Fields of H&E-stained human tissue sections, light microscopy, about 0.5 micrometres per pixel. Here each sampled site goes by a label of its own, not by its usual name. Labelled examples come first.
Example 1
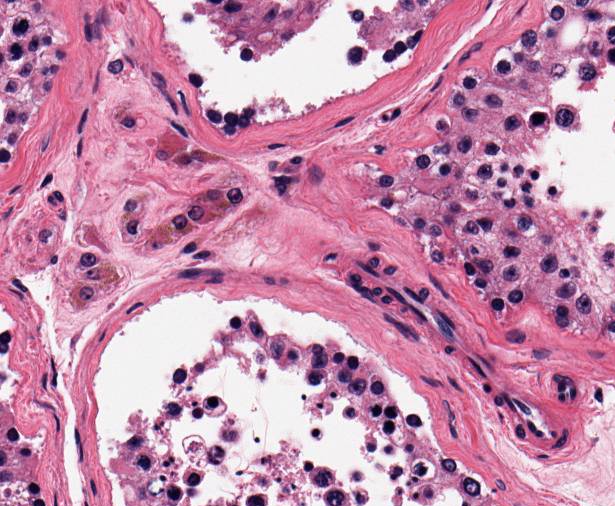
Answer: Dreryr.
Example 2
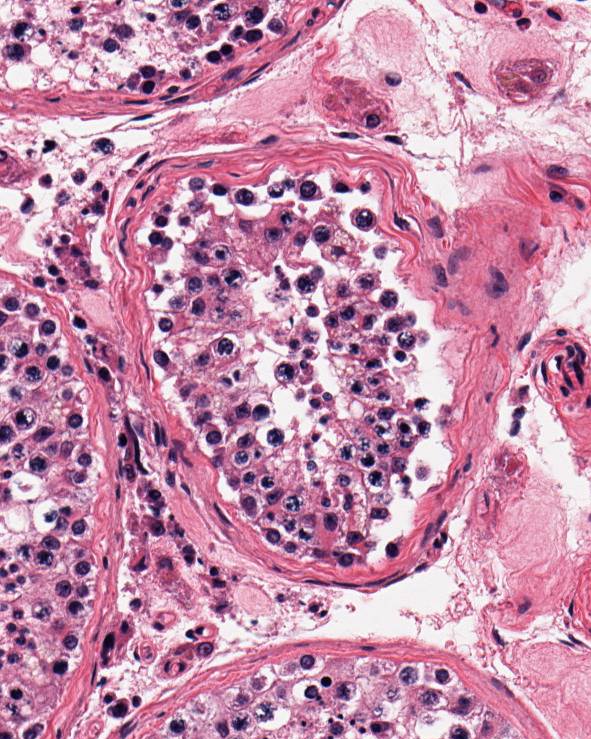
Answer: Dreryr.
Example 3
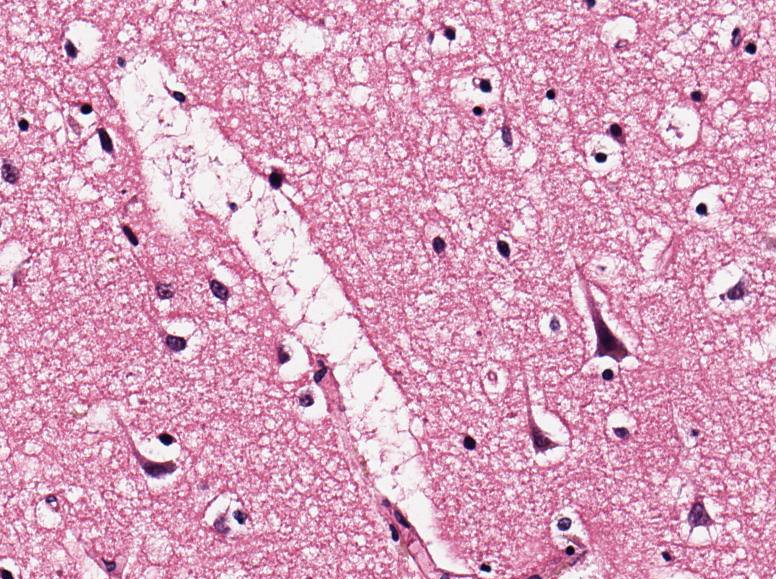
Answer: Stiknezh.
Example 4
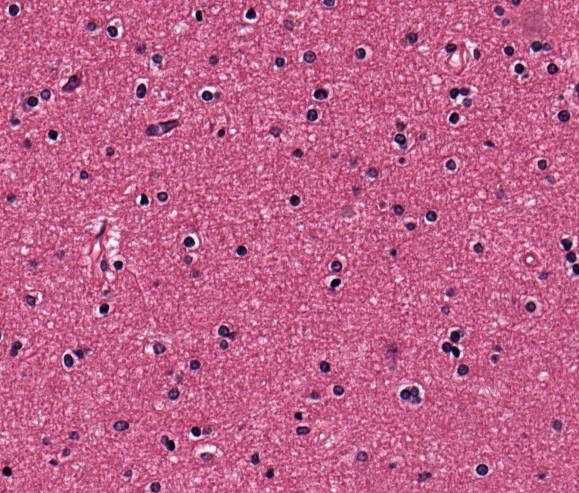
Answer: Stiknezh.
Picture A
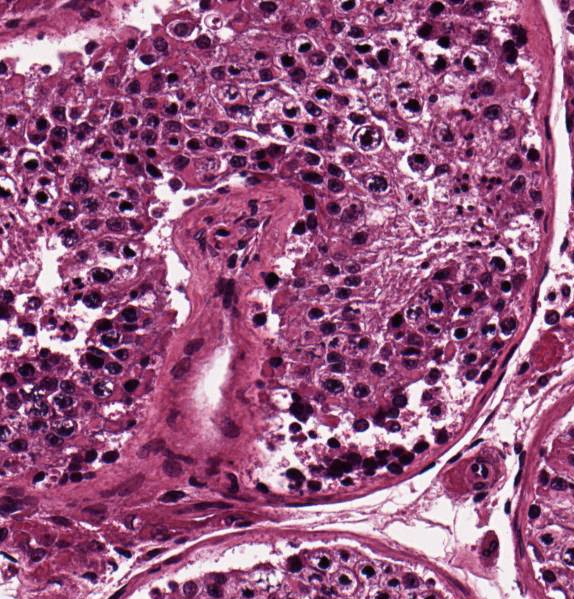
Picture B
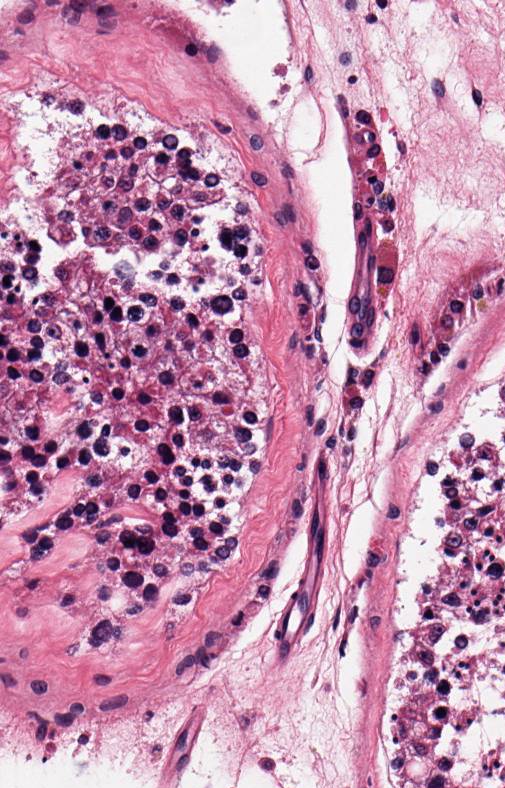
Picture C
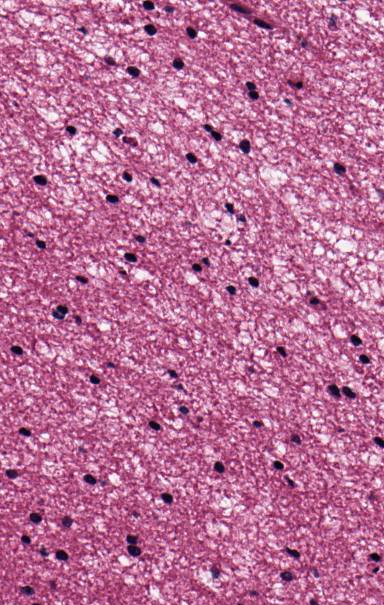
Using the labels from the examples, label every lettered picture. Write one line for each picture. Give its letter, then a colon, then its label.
A: Dreryr.
B: Dreryr.
C: Stiknezh.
